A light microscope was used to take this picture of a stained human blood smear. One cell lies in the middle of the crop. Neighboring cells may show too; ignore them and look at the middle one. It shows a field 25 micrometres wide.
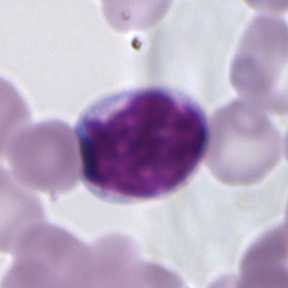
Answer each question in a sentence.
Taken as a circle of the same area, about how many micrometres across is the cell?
The cell is about 11 micrometres across.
